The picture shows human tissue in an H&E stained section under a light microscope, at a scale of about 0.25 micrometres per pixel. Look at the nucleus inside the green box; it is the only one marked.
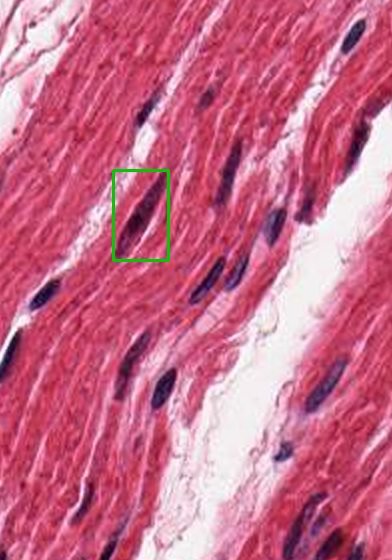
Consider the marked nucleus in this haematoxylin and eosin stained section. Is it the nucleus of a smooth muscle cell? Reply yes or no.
yes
